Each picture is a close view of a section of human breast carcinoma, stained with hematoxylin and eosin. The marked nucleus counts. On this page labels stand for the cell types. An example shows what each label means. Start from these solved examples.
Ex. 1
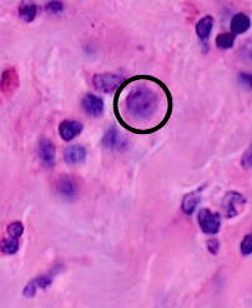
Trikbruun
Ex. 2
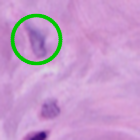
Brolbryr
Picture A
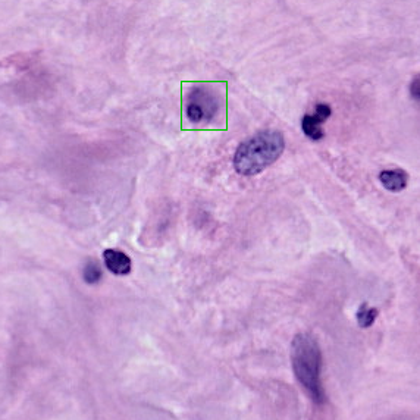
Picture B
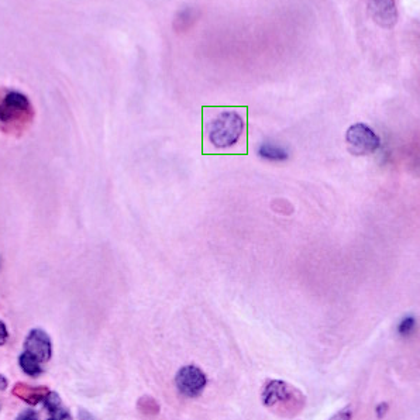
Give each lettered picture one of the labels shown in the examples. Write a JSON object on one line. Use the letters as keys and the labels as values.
{"A": "Trikbruun", "B": "Trikbruun"}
